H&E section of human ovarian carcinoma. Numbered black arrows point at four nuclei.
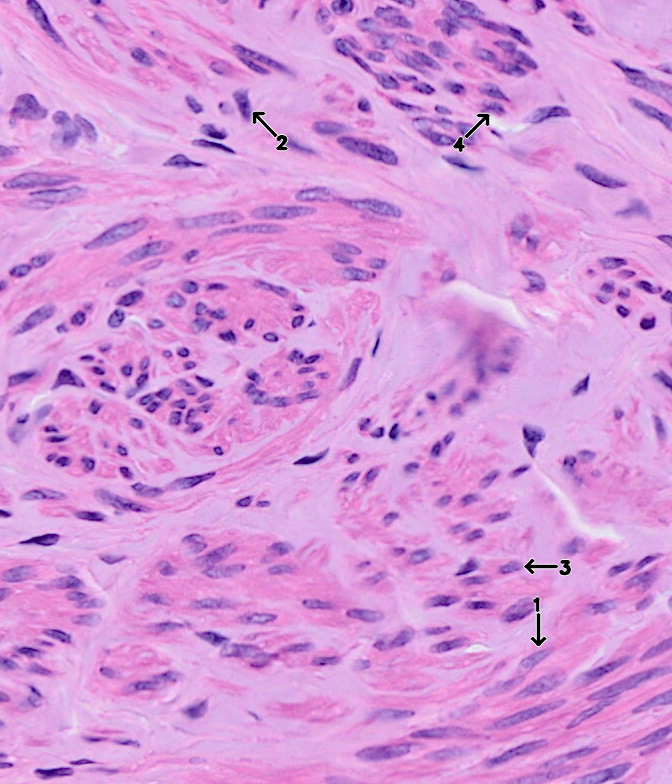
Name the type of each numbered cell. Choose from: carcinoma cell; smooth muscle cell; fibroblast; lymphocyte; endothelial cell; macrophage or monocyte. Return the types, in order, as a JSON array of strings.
["smooth muscle cell", "fibroblast", "smooth muscle cell", "smooth muscle cell"]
